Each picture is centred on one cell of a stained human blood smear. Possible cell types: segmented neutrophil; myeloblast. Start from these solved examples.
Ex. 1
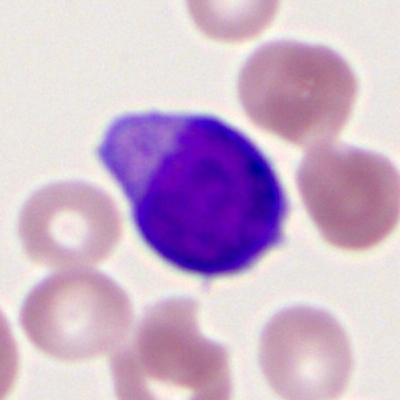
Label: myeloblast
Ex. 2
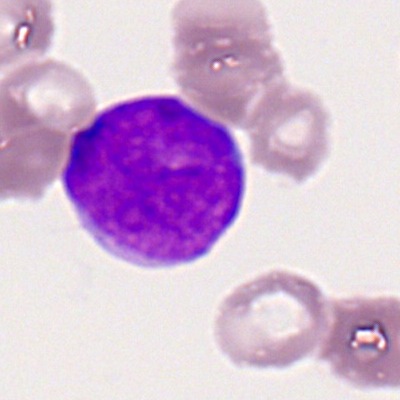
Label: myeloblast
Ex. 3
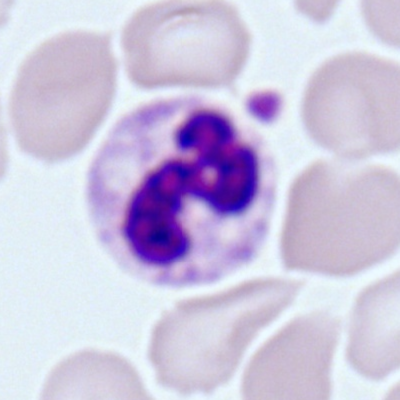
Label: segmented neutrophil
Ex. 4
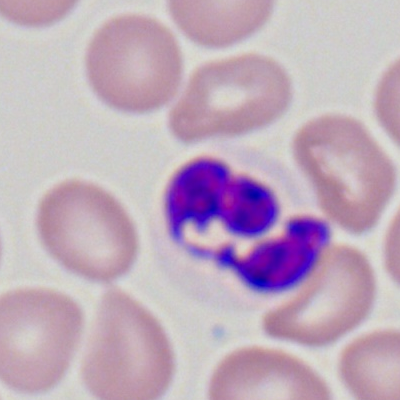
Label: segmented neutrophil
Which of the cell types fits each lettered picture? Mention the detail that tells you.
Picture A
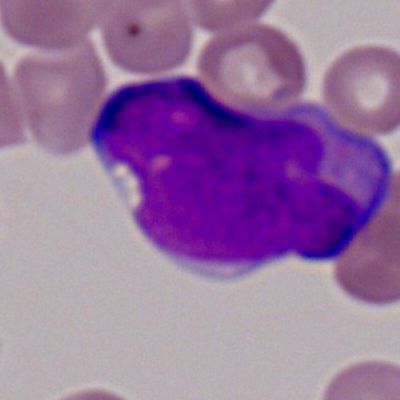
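myeloblast: The nucleus fills most of the cell and is irregular, with a fold or cleft toward its right side.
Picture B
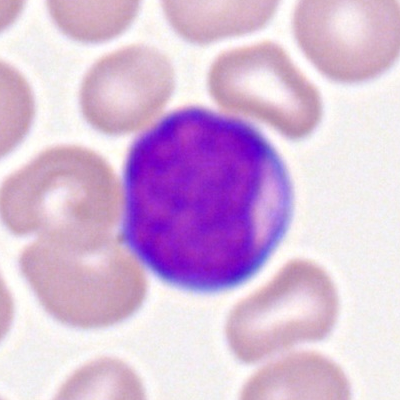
myeloblast: The thin rim of cytoplasm is blue.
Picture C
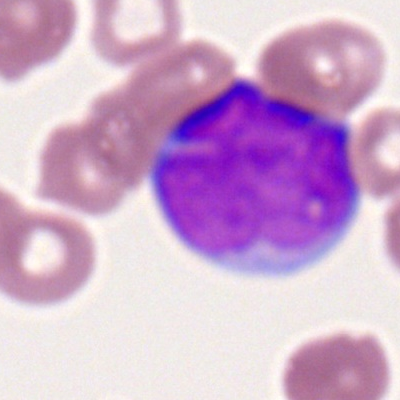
myeloblast: The cytoplasm is a thin deep-blue rim around the nucleus.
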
